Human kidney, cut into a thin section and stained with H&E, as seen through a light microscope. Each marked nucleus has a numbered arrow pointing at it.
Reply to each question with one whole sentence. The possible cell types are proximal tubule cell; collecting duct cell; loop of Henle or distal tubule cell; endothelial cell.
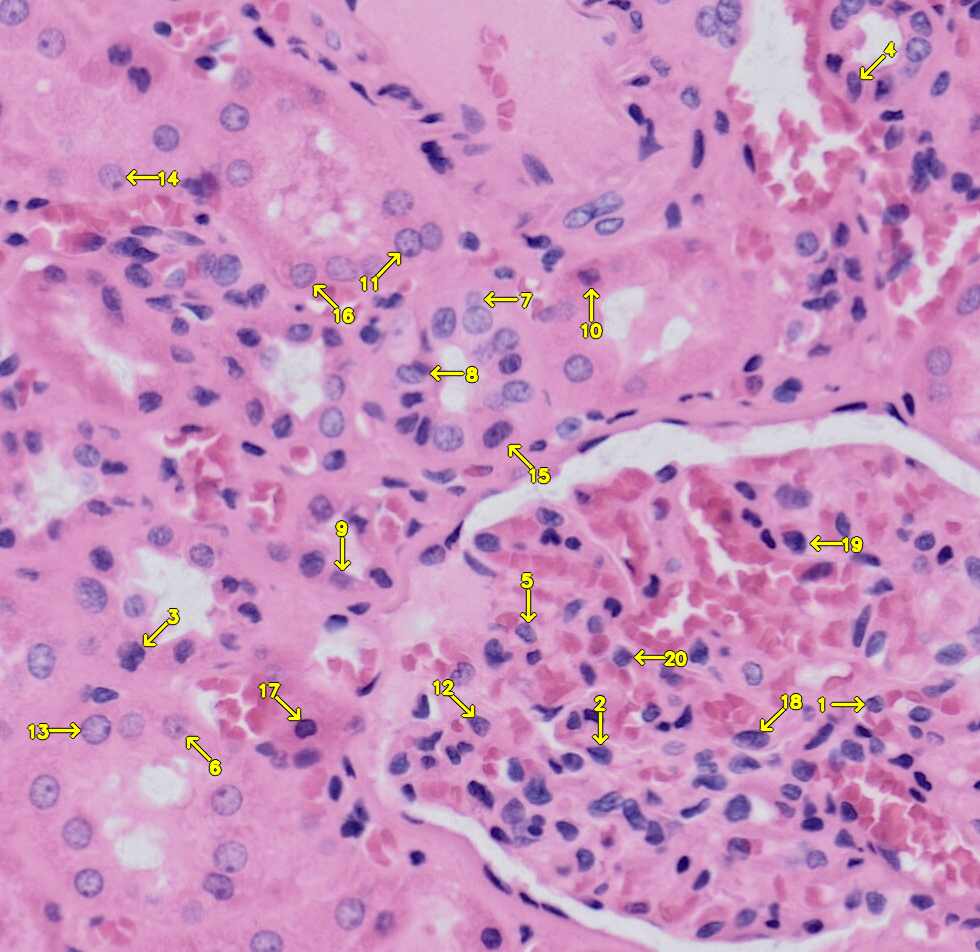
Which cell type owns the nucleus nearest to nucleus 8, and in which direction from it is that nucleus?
It is a collecting duct cell, whose nucleus lies below nucleus 8.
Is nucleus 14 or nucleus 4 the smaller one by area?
With nucleus 14 about 1.5 times its size, nucleus 4 is the smaller of the two.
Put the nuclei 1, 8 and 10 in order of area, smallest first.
Smallest first, the nuclei run 1, 10, 8.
